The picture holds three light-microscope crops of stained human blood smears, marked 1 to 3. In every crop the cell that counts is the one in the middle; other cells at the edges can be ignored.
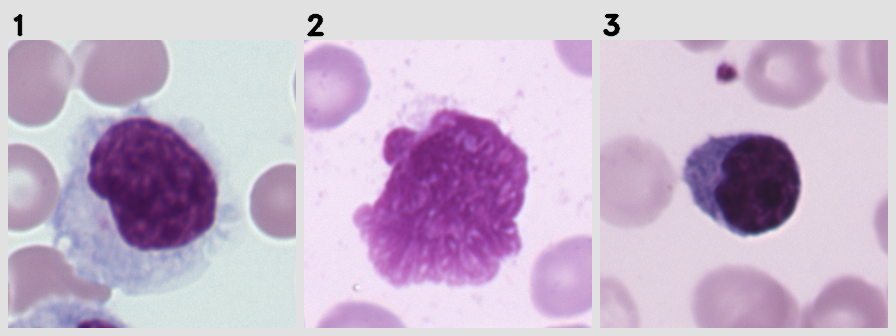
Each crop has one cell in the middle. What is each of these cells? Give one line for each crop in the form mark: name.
1: hairy cell
2: smudge cell
3: typical lymphocyte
